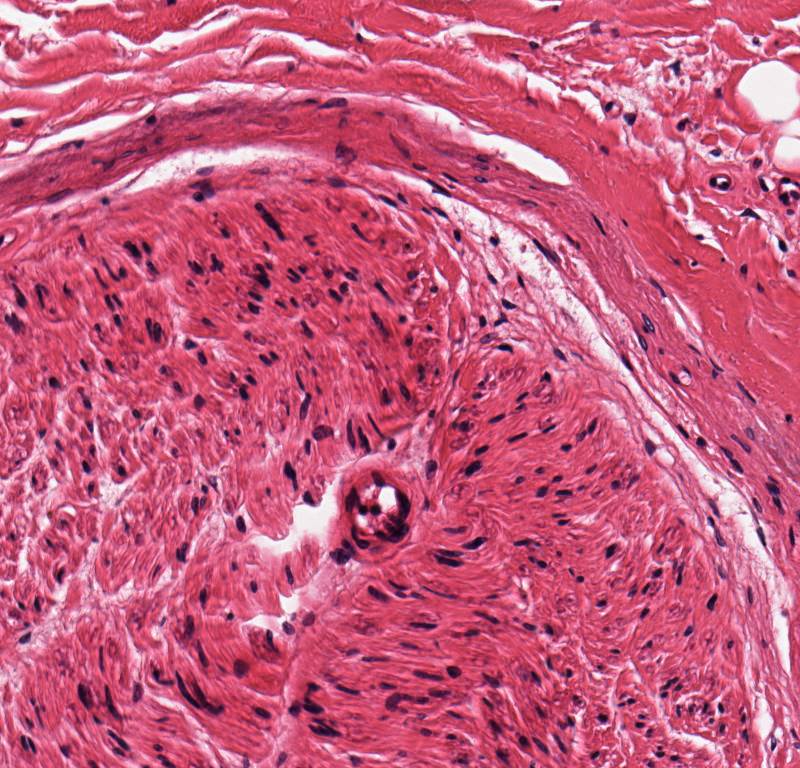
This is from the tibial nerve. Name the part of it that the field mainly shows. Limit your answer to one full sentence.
The part of the tissue imaged here is called nerve fascicle.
